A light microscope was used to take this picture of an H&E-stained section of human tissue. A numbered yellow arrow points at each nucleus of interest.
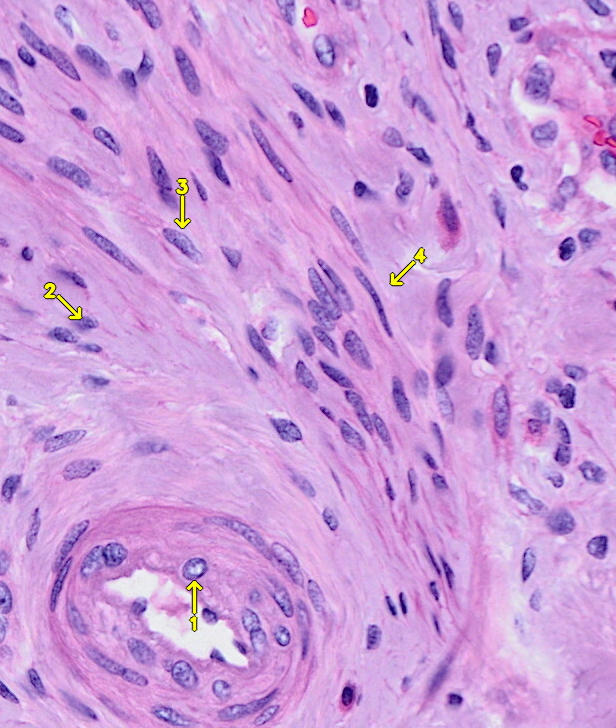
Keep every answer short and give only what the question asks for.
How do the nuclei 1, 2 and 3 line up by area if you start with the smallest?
2, 1, 3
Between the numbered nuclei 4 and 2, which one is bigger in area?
4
